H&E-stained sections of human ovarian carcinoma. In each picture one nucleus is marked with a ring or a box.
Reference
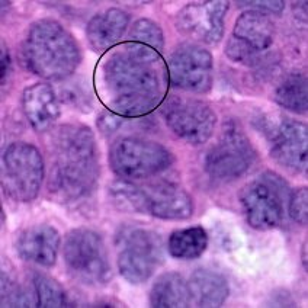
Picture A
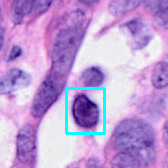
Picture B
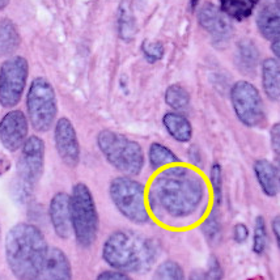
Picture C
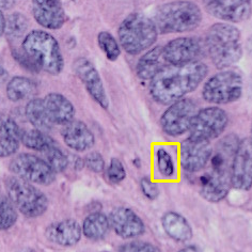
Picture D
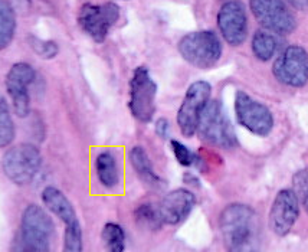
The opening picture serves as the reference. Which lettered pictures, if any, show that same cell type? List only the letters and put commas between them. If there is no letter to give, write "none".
A, B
